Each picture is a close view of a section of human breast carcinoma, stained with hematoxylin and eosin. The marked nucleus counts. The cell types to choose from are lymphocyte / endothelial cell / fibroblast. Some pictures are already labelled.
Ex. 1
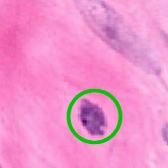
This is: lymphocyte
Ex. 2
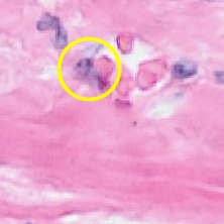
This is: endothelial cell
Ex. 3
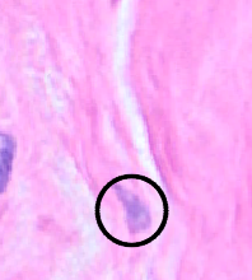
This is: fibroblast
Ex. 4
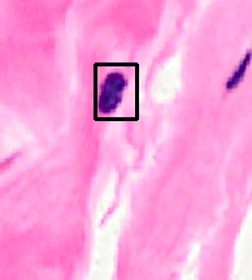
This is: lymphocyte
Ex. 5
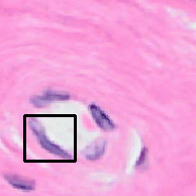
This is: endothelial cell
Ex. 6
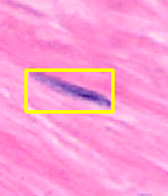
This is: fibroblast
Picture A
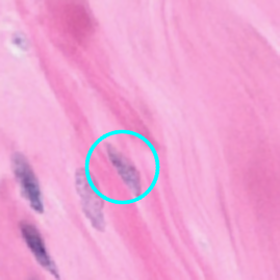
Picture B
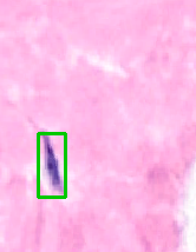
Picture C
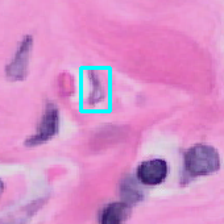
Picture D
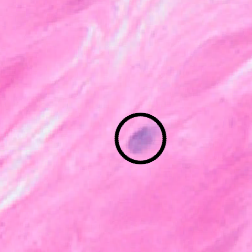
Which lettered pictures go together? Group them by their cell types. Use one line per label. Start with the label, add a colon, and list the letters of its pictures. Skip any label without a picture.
endothelial cell: C
fibroblast: A, B, D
